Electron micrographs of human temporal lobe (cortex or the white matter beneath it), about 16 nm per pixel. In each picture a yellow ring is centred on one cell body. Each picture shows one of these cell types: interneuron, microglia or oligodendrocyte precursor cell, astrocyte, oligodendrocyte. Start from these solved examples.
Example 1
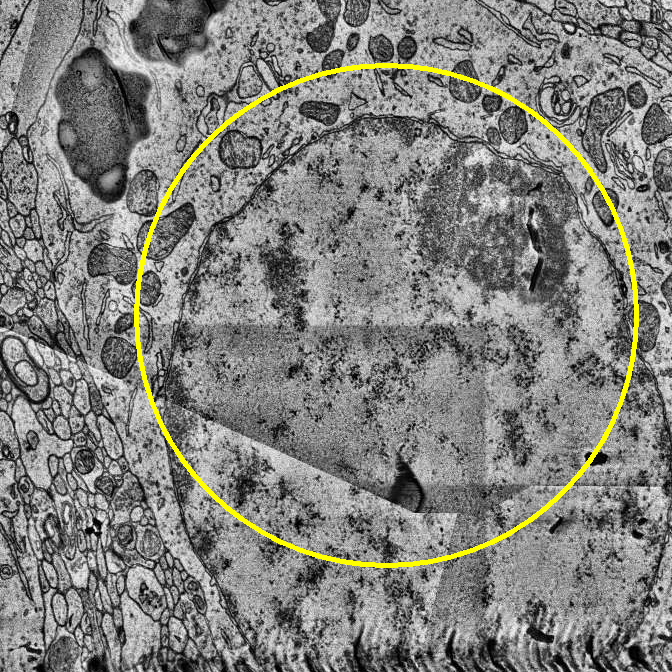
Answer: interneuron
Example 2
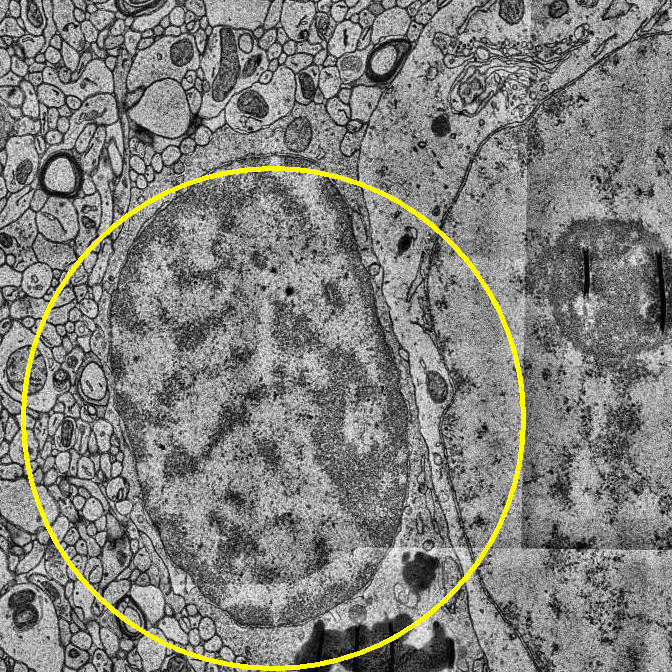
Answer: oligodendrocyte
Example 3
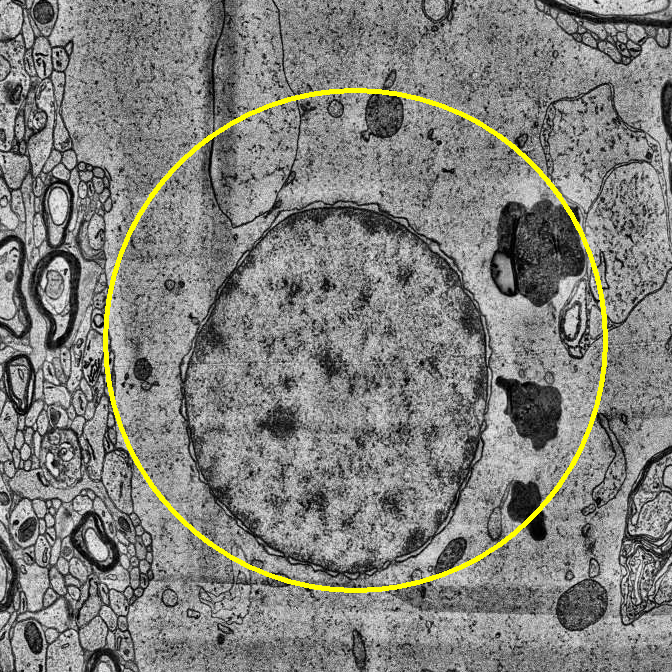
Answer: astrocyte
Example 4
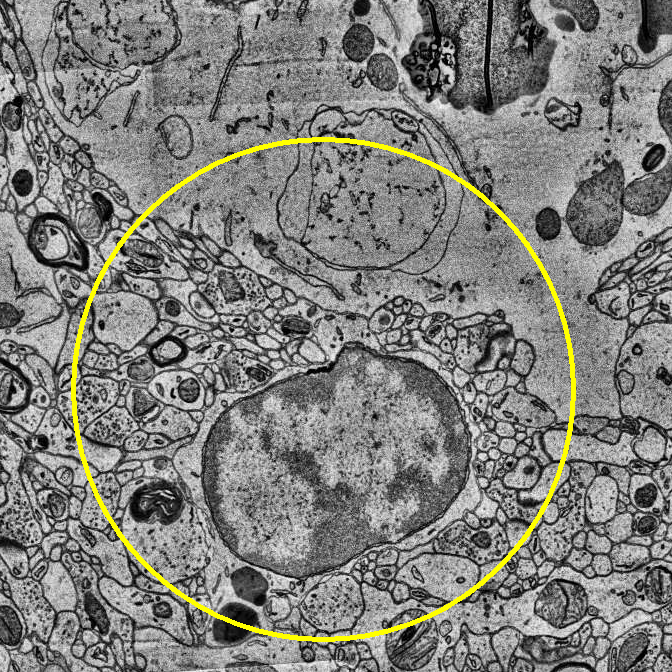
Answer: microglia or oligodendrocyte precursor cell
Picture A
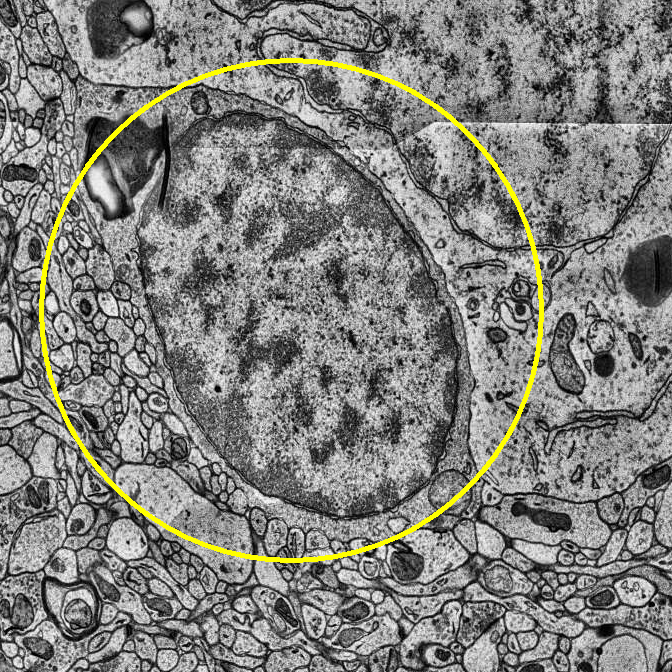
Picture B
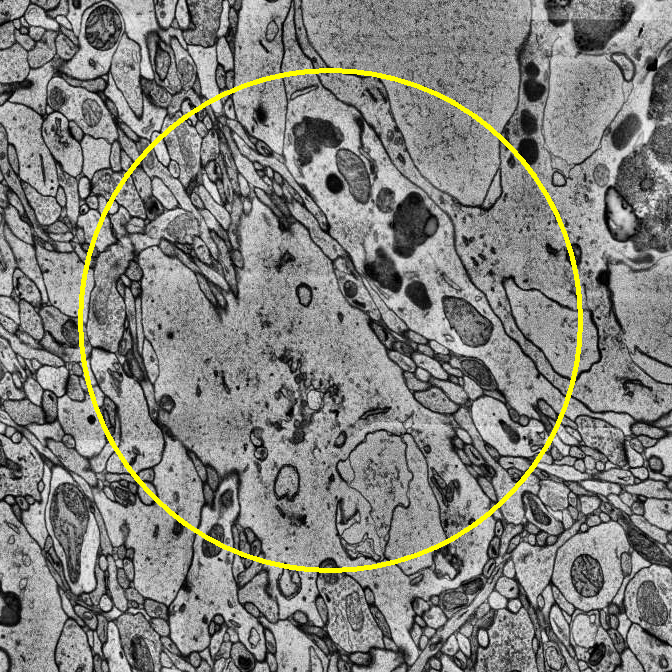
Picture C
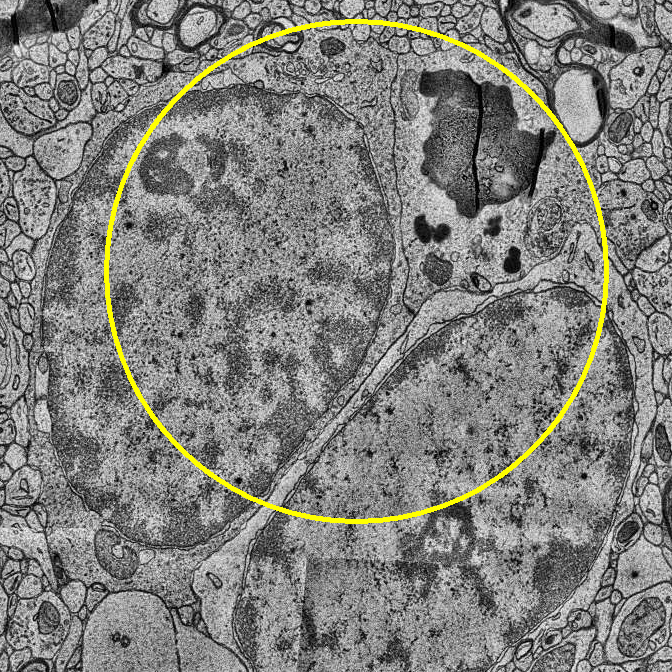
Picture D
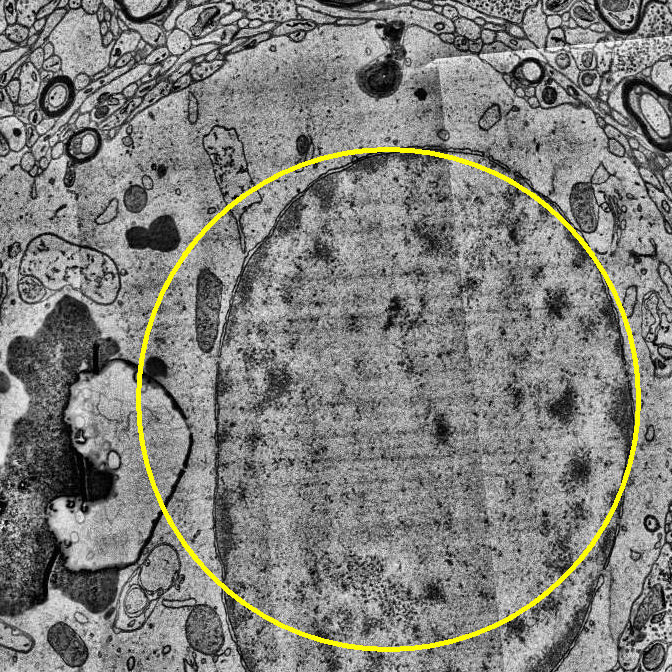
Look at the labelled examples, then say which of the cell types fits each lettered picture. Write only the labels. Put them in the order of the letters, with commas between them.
oligodendrocyte, astrocyte, oligodendrocyte, astrocyte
